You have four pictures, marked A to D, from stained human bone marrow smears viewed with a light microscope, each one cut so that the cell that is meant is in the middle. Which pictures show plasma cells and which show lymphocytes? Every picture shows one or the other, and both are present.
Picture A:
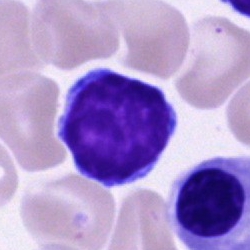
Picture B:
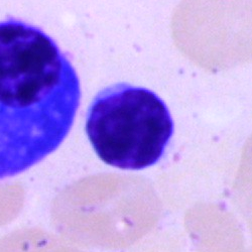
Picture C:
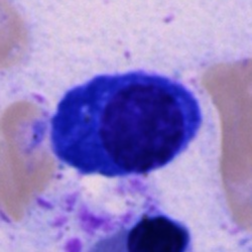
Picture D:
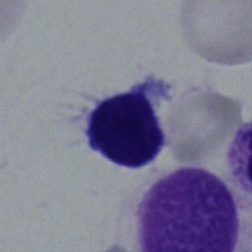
A: lymphocyte
B: lymphocyte
C: plasma cell
D: lymphocyte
